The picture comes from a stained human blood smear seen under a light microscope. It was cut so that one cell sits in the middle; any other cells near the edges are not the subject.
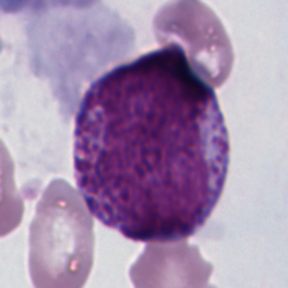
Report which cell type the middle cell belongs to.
promyelocyte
